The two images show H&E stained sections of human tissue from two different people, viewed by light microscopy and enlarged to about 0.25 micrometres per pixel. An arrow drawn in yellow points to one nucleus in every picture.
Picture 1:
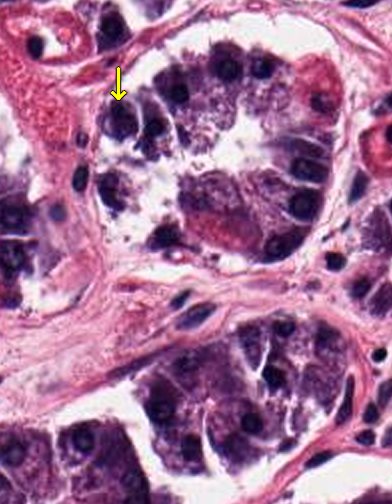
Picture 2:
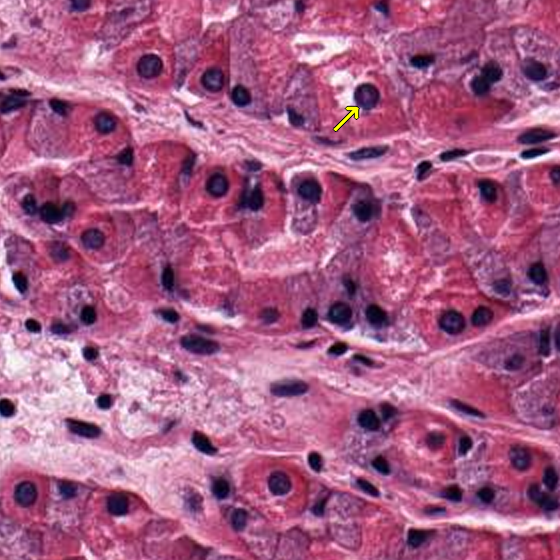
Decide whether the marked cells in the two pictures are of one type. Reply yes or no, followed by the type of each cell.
No, the first is a chief cell and the second a parietal cell.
